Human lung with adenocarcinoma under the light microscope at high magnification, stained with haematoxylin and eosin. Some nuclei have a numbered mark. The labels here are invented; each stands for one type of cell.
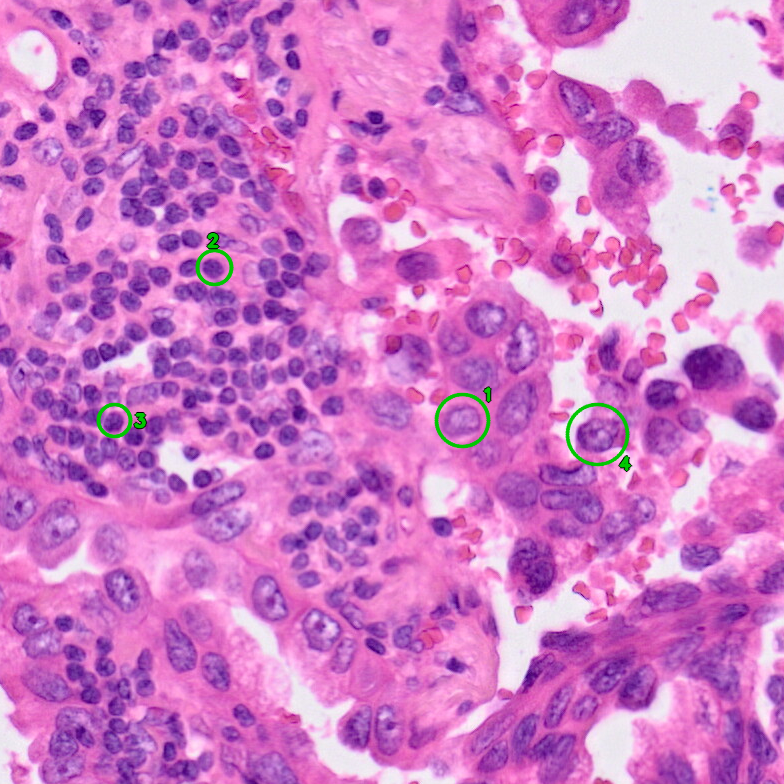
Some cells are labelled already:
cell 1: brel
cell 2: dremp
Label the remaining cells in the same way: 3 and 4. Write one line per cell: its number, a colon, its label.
3: dremp
4: brel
